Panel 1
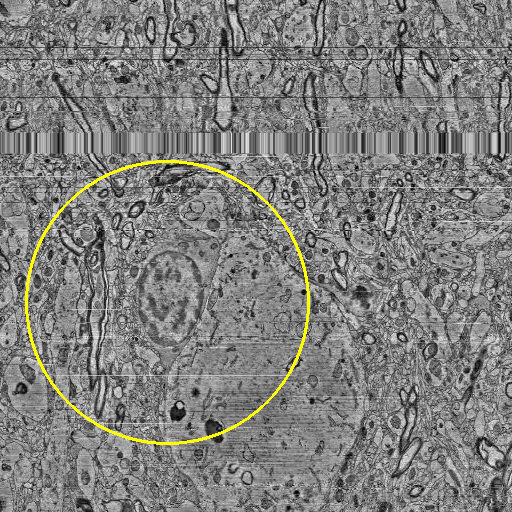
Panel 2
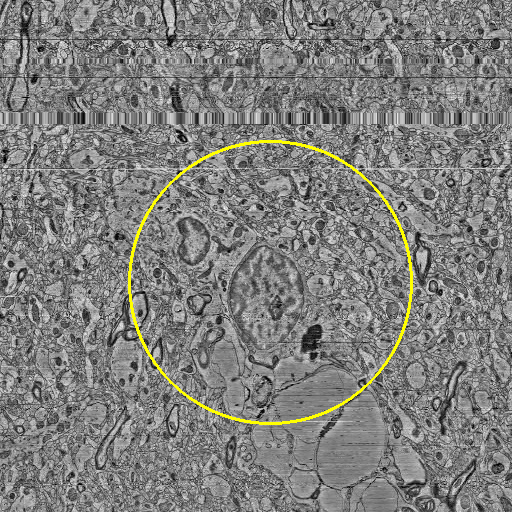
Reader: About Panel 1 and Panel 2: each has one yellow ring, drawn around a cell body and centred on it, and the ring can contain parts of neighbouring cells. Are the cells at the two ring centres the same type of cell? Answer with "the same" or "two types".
the same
